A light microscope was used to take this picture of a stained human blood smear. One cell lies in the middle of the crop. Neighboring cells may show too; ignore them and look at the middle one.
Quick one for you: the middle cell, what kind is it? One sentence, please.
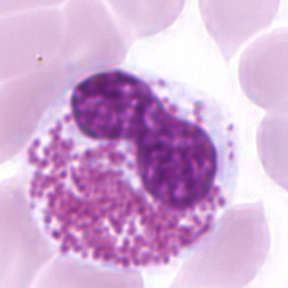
The cell at the centre of the field is an eosinophil.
